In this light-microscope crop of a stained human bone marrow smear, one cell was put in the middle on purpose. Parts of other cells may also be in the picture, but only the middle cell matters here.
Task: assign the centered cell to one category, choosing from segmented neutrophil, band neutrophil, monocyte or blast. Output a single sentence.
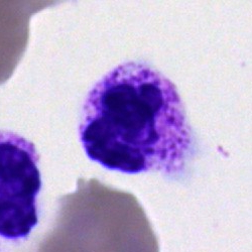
The crop centres on a single cell, and that cell is a segmented neutrophil.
